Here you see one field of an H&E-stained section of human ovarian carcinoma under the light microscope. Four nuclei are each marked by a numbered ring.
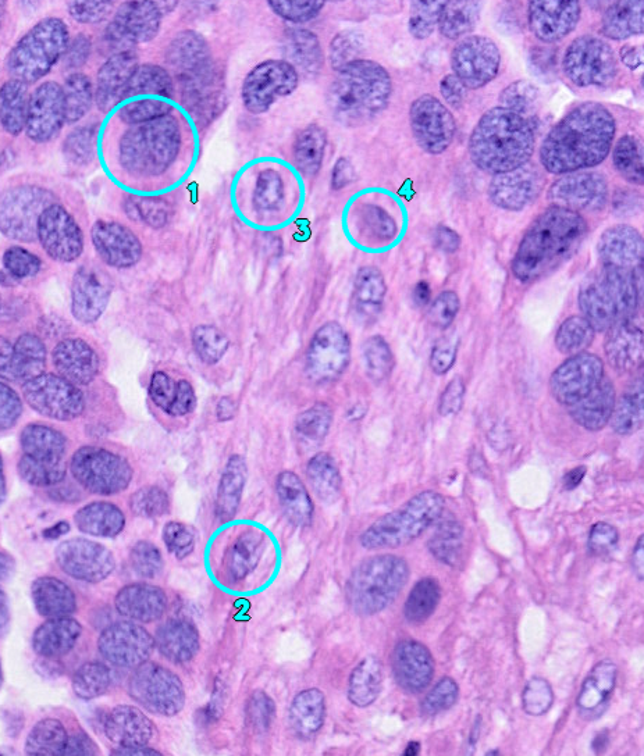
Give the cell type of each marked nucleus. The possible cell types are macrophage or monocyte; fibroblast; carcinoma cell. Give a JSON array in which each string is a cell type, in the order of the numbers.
["carcinoma cell", "fibroblast", "fibroblast", "fibroblast"]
